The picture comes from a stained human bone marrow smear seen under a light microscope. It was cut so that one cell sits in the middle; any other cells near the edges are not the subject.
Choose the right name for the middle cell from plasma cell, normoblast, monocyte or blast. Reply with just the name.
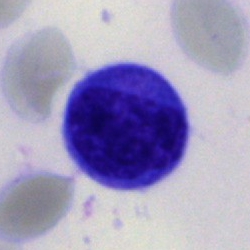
monocyte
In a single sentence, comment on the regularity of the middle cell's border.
The border of this cell runs smooth and free of any projections.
